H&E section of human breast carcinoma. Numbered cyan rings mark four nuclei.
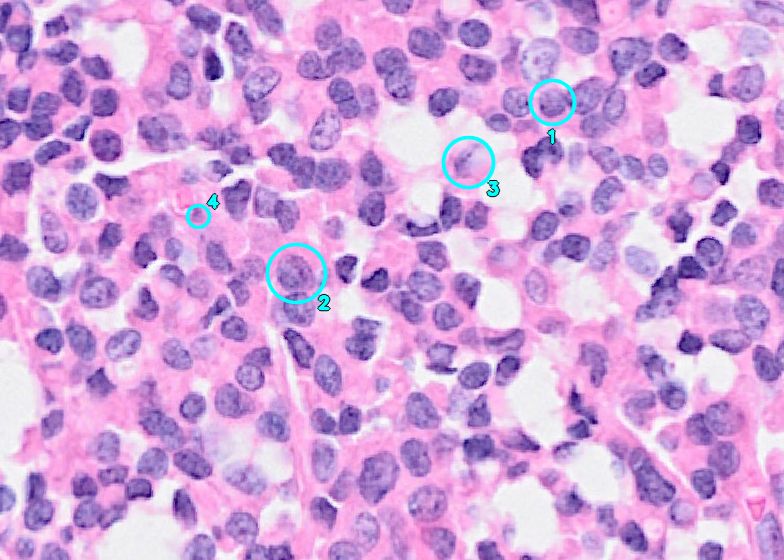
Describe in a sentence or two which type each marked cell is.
Cell 1 is a carcinoma cell, cell 2 is a carcinoma cell, cell 3 is a carcinoma cell and cell 4 is an endothelial cell.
